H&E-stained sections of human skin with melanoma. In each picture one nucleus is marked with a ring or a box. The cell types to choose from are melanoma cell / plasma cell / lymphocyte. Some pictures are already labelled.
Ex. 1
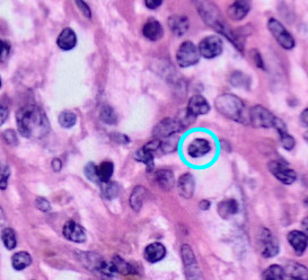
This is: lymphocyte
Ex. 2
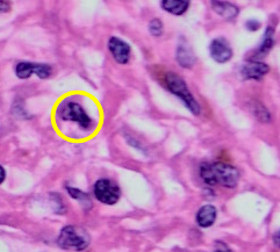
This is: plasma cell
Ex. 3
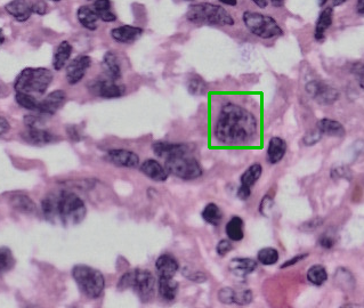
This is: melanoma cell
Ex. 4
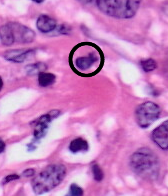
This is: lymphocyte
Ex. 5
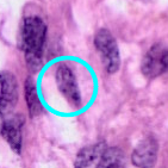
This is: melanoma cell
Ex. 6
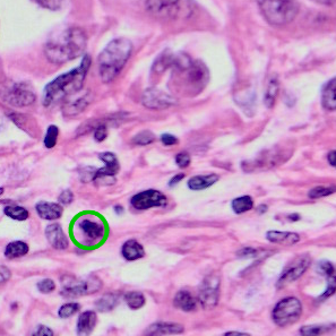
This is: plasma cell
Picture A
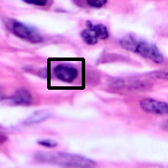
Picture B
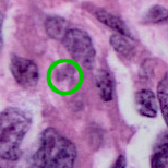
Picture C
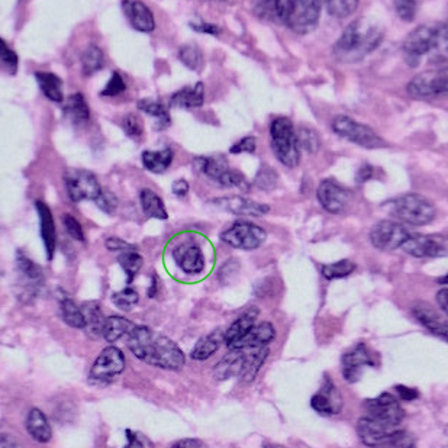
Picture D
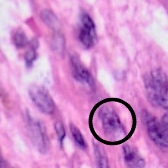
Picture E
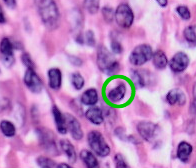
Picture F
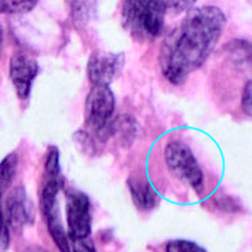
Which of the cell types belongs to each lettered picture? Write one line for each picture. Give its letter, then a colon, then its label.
A: plasma cell
B: melanoma cell
C: melanoma cell
D: melanoma cell
E: lymphocyte
F: melanoma cell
